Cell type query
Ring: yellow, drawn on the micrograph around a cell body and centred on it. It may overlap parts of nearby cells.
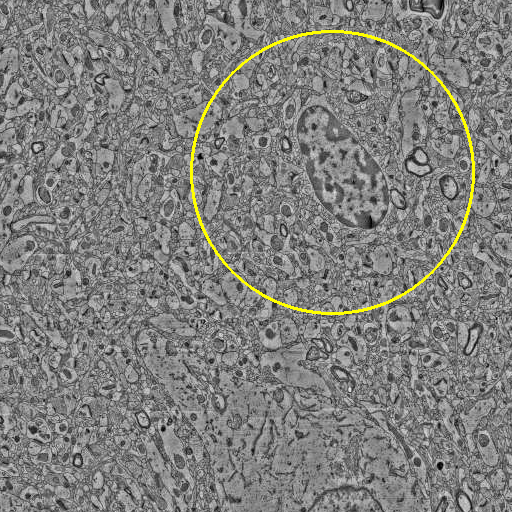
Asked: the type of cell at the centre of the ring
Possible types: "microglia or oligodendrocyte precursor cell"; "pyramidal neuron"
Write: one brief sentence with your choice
The ring marks a microglial cell or oligodendrocyte precursor cell.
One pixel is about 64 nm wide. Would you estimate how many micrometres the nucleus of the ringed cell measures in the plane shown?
About 8 by 4 micrometres, the nucleus being clearly longer than it is wide in this plane.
